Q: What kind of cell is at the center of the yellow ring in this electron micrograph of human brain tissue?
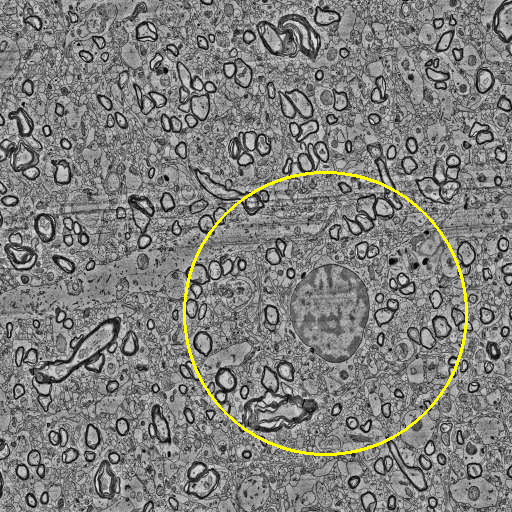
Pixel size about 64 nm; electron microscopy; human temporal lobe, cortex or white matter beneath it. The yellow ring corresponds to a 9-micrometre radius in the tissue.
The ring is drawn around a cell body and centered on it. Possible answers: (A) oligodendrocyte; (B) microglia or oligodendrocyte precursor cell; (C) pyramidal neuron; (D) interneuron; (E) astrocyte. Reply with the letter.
B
